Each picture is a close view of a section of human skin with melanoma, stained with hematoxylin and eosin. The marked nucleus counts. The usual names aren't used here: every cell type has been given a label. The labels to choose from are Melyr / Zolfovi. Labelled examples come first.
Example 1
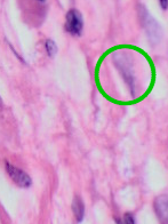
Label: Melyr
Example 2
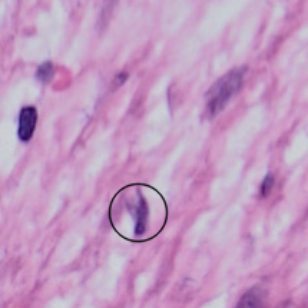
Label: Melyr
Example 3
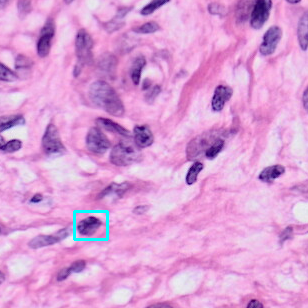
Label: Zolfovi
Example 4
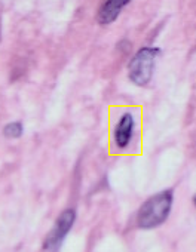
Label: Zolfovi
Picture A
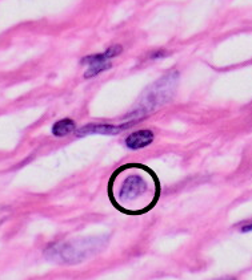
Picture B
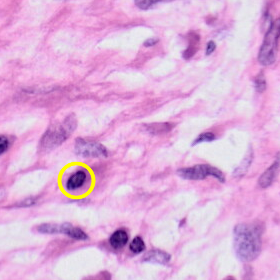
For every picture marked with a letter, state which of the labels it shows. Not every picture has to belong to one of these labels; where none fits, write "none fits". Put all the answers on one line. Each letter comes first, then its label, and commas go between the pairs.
A Zolfovi, B none fits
